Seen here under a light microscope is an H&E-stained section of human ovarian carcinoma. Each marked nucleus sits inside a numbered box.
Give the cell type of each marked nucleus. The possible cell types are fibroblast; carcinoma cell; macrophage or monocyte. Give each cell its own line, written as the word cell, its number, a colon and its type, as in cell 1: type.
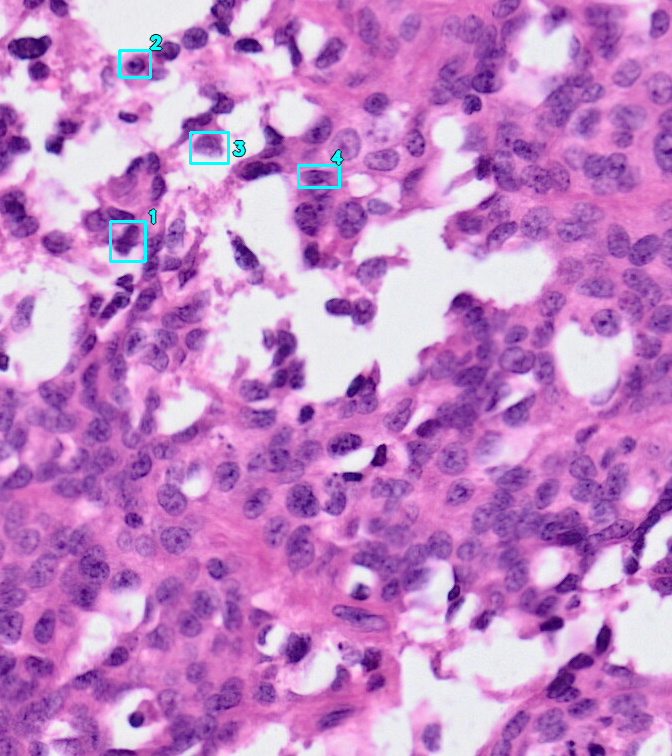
cell 1: carcinoma cell
cell 2: macrophage or monocyte
cell 3: carcinoma cell
cell 4: carcinoma cell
